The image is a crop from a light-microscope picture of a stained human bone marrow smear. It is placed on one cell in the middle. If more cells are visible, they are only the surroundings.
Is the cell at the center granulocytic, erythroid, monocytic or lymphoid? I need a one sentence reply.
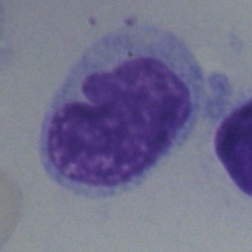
Counted among cells of the monocytic lineage is the central cell.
